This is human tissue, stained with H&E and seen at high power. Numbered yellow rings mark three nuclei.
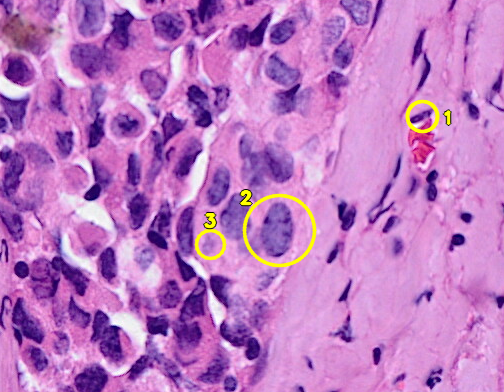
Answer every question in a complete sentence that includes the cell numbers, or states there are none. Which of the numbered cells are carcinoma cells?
The cells assigned the numbers 2 and 3 are carcinoma cells.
